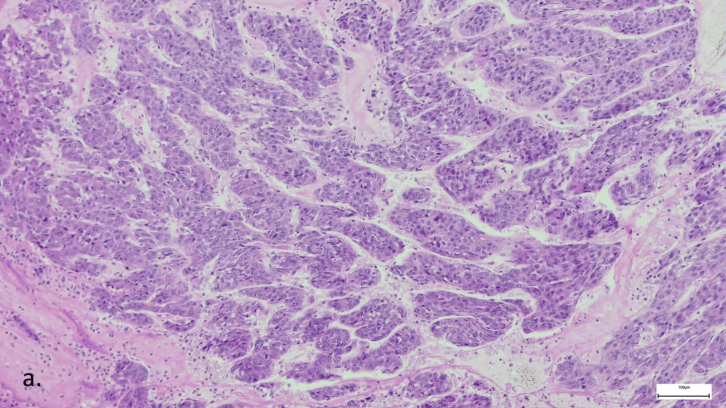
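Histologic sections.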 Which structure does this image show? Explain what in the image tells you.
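Broad cords of tumor cells many cells thick. Cords separated by thin slit-like spaces. Cords run in roughly parallel bands. On this evidence: macrotrabeculae.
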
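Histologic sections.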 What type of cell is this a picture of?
polygonal tumor cells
